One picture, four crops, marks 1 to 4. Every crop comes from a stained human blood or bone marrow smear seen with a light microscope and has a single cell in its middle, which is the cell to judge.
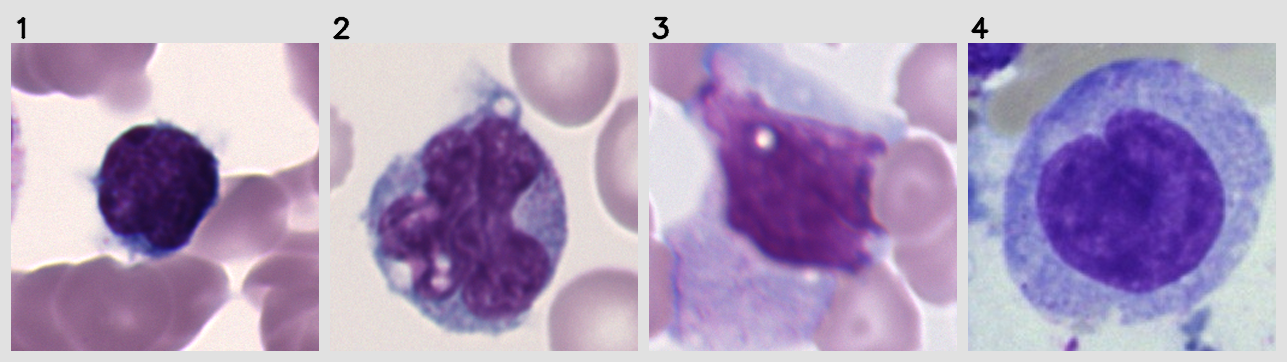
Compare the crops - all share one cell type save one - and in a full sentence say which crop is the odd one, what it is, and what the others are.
In this set, all crops show monocytes apart from crop 1, which is a lymphocyte.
